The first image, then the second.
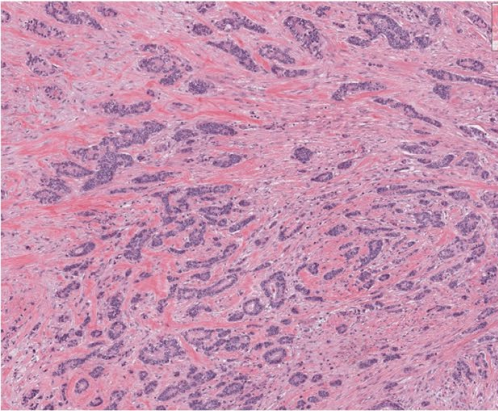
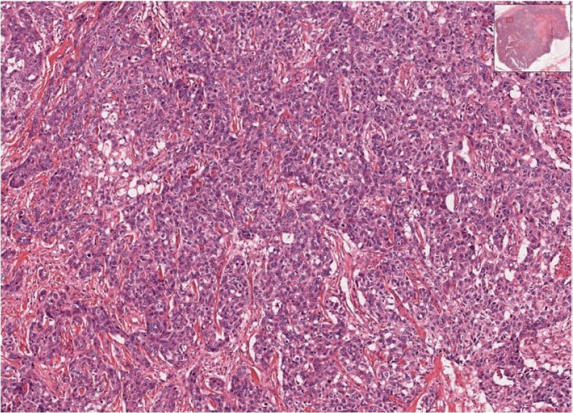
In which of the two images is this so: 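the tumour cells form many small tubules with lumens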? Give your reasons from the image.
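The first image. Second image: tumour cells lie in broad solid sheets with hardly any gland lumens. First image: tumour cells form small separate glands and cords, many with lumens, set in abundant pink stroma.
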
